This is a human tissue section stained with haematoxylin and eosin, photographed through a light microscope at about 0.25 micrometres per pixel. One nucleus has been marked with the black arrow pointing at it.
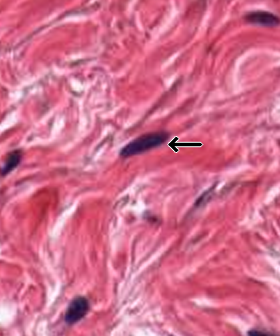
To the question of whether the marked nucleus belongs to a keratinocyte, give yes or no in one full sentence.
No, not to a keratinocyte does the marked nucleus belong, but to a supporting cell.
